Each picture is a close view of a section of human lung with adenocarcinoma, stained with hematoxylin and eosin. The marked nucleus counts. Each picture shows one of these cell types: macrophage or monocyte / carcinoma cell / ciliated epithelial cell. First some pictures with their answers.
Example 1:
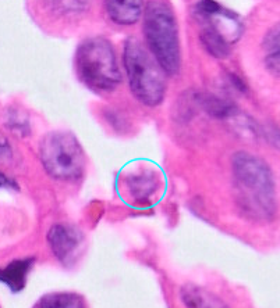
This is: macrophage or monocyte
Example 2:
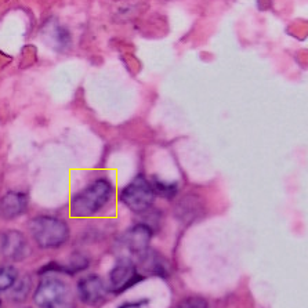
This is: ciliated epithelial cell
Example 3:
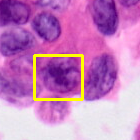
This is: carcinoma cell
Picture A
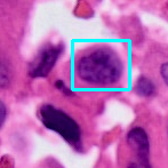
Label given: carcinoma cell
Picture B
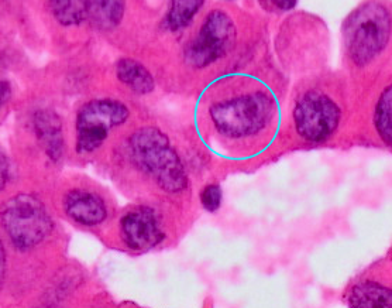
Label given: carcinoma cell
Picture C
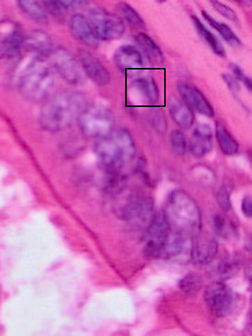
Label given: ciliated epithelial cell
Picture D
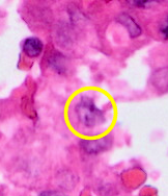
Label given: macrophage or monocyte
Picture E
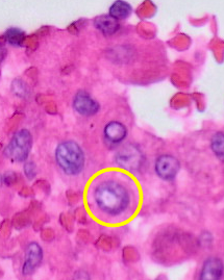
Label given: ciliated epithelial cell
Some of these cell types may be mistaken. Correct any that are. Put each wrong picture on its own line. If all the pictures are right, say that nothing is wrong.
E: macrophage or monocyte, not ciliated epithelial cell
